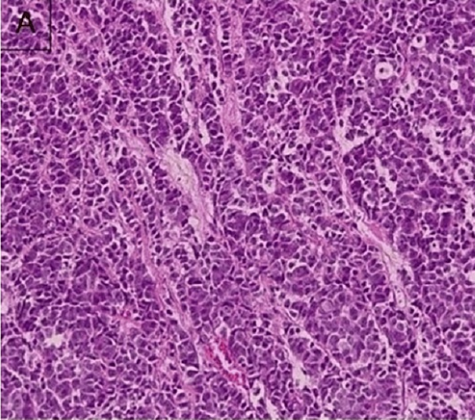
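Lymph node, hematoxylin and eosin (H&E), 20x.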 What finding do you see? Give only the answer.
hyperchromatic nuclei, scant cytoplasm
